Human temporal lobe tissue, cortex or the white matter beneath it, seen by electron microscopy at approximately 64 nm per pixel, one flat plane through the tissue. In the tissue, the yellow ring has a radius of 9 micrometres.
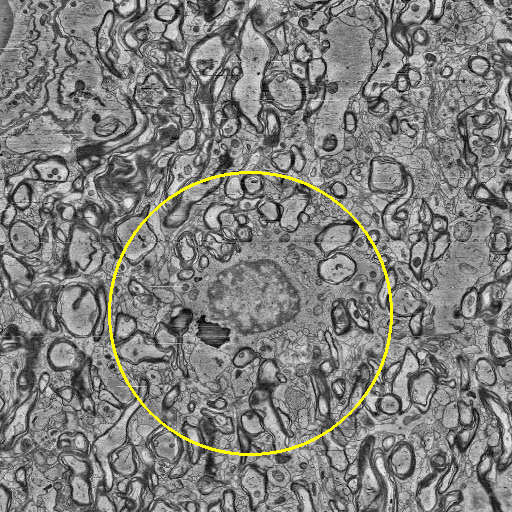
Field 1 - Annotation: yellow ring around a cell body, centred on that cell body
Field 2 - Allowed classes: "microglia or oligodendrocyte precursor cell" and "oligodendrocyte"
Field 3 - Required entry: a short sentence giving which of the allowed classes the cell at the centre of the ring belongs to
The centred cell is an oligodendrocyte.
